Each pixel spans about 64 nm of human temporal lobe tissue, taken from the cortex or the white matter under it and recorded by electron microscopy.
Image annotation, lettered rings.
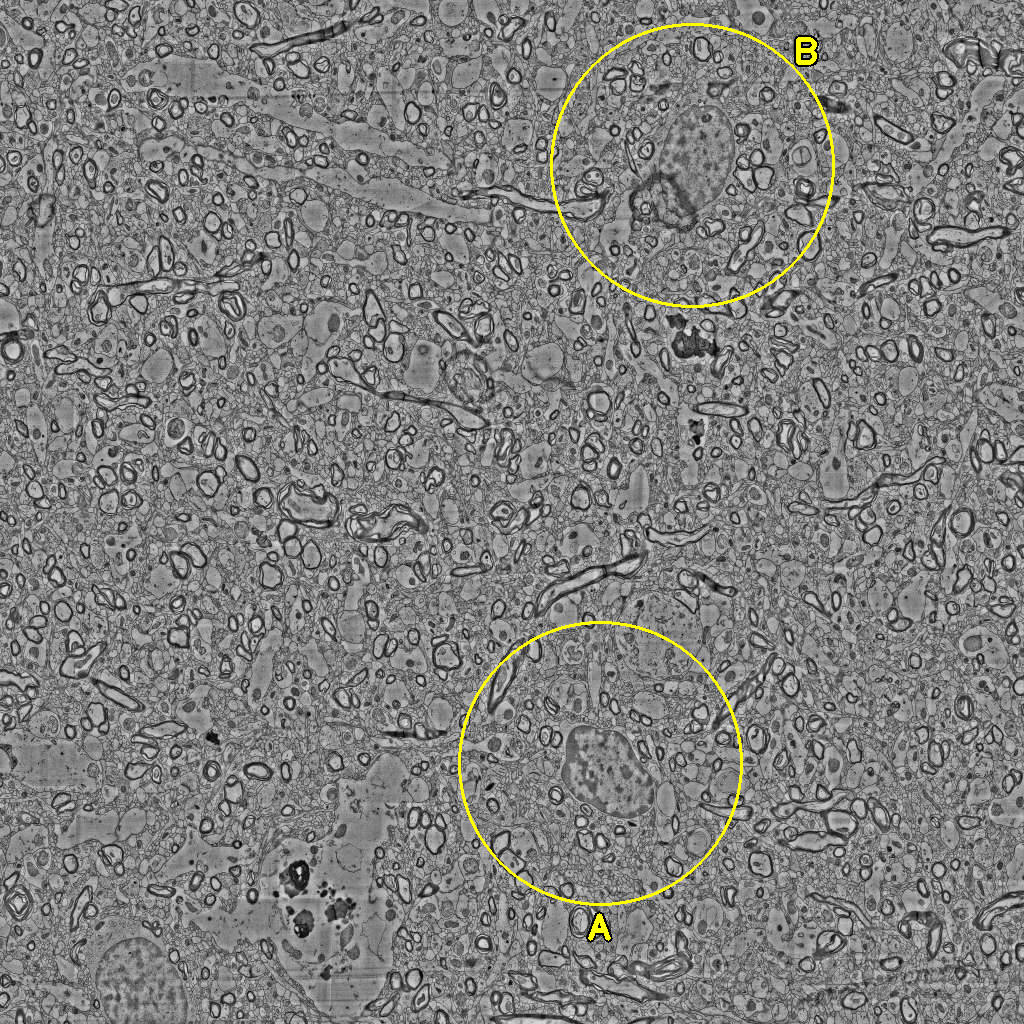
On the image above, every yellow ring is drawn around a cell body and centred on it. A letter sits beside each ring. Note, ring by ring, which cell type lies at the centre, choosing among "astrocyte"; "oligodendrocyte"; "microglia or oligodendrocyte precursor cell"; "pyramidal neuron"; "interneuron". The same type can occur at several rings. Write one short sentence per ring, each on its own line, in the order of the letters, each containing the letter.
Ring A has a microglial cell or oligodendrocyte precursor cell at its centre.
Ring B has an oligodendrocyte at its centre.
